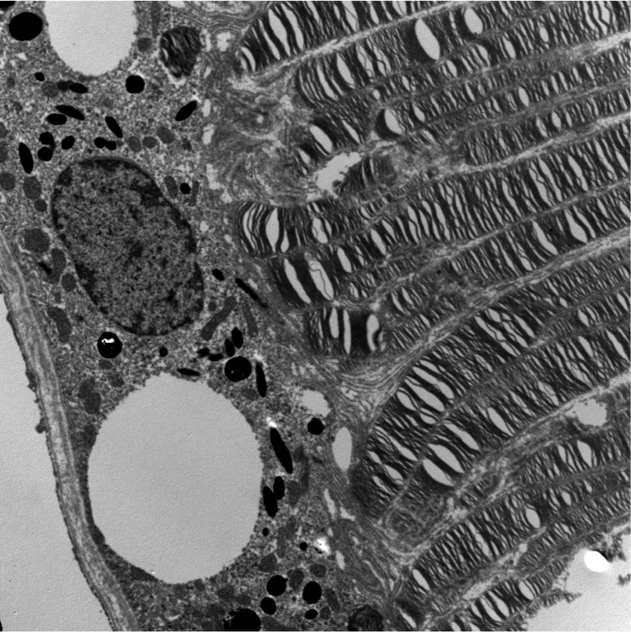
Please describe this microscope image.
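Transmission electron micrograph of retinal pigment epithelium with an oval nucleus of finely granular chromatin on the left near the basal membrane. Below it a very large, round, pale, homogeneous droplet fills much of the cell. Black melanosomes and grey mitochondria are scattered around the nucleus and droplet. The basal border shows little infolding.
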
